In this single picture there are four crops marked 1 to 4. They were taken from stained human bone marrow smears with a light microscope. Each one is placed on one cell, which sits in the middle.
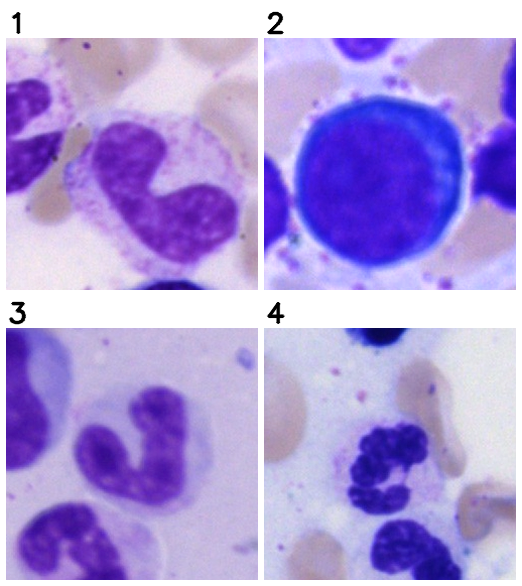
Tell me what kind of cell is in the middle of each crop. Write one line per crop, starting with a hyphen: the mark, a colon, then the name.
- 1: band neutrophil
- 2: proerythroblast
- 3: band neutrophil
- 4: segmented neutrophil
